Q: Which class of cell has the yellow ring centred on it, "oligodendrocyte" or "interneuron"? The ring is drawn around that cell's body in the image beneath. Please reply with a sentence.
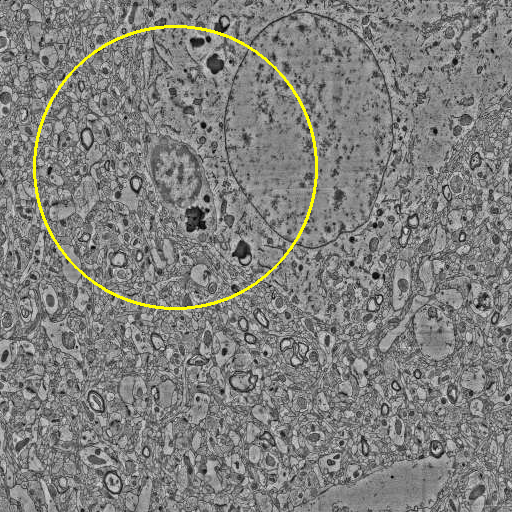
It is centred on an oligodendrocyte.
